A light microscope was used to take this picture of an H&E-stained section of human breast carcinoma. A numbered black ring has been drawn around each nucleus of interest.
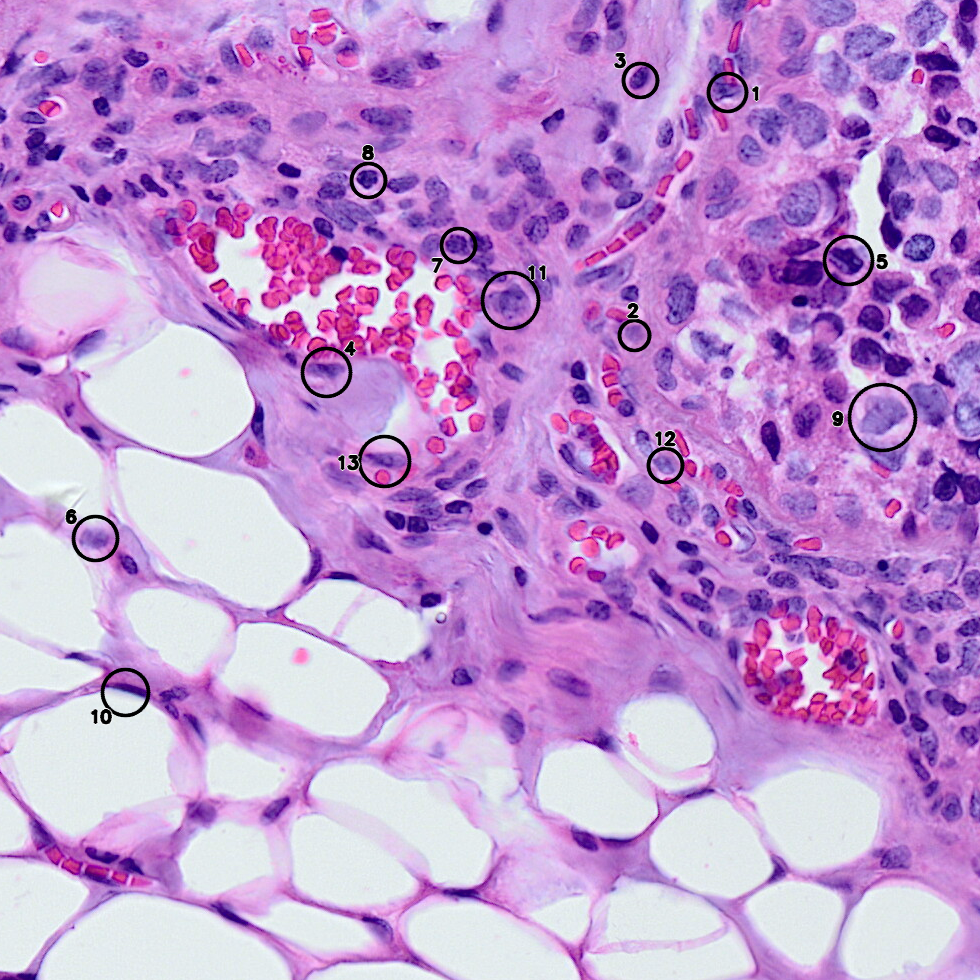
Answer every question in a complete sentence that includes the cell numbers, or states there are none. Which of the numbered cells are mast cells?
Cell 3, and no other numbered cell, is a mast cell.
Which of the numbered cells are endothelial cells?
The cells referred to by numbers 1, 2, 4, 10, 11, 12 and 13 are endothelial cells.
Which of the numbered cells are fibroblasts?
Only the cell numbered 6 qualifies as a fibroblast among the marked cells.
